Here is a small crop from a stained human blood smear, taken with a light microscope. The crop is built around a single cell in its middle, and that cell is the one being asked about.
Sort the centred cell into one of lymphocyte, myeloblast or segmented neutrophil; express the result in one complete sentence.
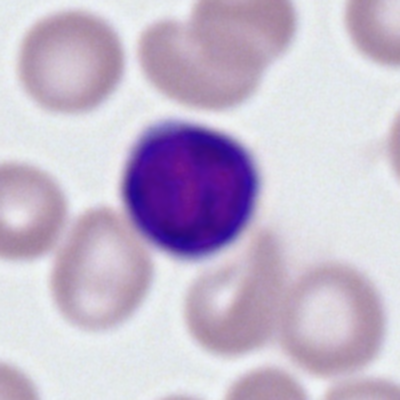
At the center of the crop sits a lymphocyte.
